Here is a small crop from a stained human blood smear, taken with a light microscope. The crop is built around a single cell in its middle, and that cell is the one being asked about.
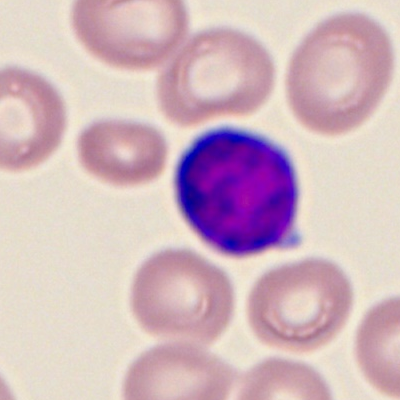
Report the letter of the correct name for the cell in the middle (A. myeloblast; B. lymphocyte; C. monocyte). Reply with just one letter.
B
